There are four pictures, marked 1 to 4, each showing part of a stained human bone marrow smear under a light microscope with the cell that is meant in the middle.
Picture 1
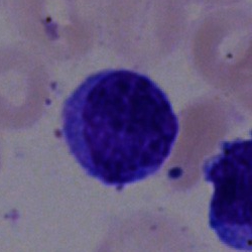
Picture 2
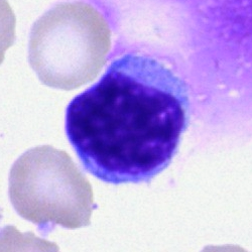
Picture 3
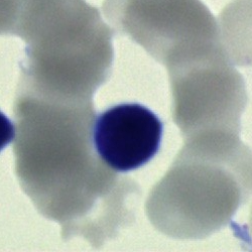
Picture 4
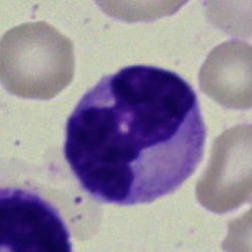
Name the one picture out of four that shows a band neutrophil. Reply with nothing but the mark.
4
